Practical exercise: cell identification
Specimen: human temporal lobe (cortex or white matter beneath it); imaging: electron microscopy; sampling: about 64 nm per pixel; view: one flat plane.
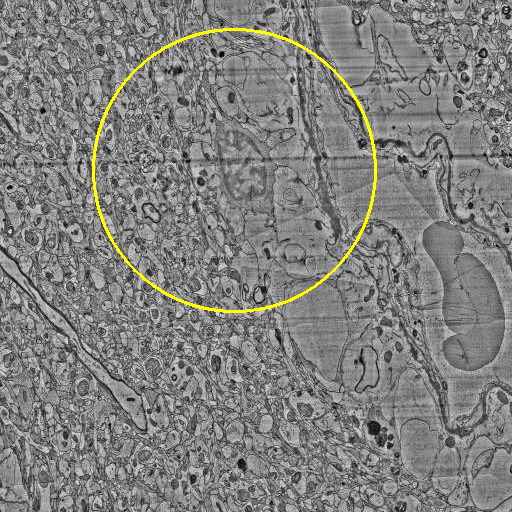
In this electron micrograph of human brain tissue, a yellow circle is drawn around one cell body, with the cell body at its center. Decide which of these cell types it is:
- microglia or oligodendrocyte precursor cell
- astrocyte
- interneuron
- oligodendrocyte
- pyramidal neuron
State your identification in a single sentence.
The ringed cell is an oligodendrocyte.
